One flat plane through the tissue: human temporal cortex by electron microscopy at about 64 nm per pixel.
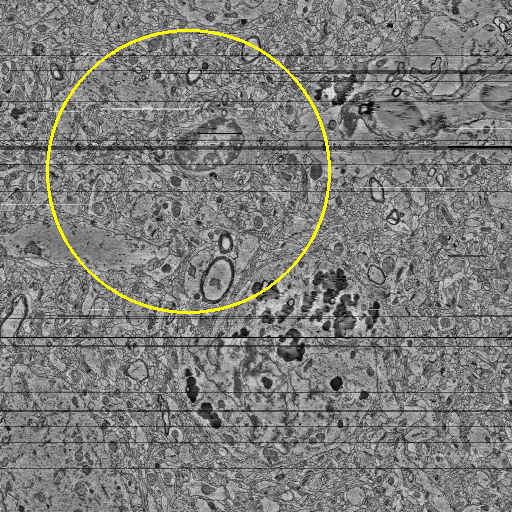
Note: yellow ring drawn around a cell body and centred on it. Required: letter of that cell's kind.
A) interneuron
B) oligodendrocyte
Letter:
B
